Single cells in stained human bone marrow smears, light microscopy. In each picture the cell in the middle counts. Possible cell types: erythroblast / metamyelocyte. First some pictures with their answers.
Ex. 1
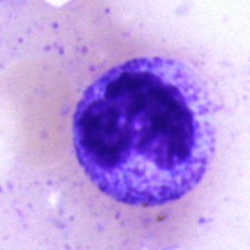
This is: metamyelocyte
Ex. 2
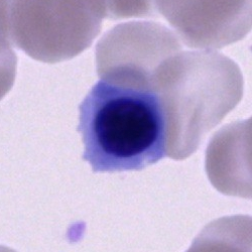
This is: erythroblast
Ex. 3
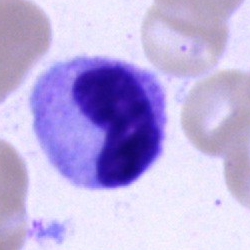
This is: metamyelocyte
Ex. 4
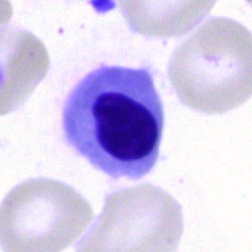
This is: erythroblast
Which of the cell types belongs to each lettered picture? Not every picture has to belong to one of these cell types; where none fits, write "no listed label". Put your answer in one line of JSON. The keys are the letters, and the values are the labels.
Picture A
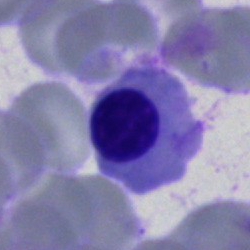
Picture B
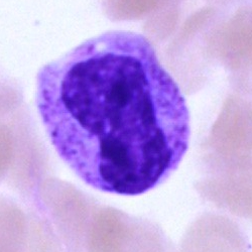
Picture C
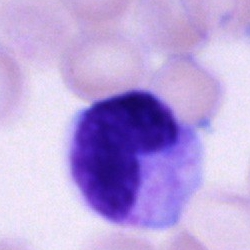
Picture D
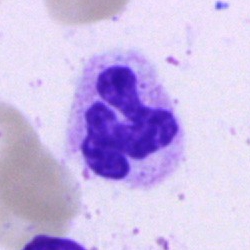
{"A": "erythroblast", "B": "metamyelocyte", "C": "metamyelocyte", "D": "no listed label"}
